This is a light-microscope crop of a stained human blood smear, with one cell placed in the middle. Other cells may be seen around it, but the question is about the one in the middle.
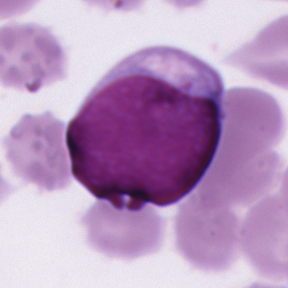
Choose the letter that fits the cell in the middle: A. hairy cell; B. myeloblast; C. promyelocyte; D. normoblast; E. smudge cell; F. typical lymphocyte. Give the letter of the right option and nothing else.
B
